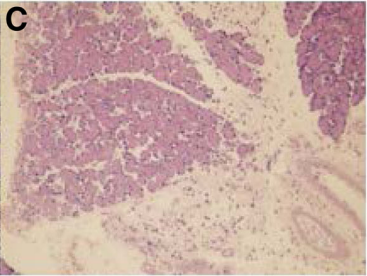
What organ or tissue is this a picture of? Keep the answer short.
Pancreas.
